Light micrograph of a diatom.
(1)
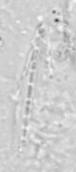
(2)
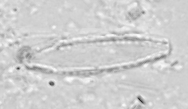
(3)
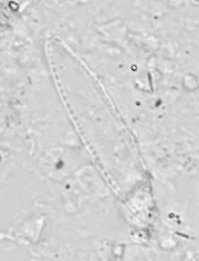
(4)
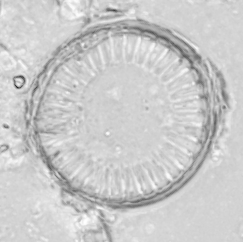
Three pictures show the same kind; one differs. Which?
Picture 4: Cyclotella, while the others are Nitzschia.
